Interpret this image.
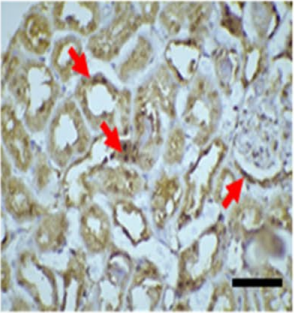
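Kidney cortex with closely packed tubules cut in cross section and part of a glomerulus at the right edge. The tubular epithelial cells have a strongly brown-stained cytoplasm, darker than in the surrounding interstitium. Several tubular lumens are widened and irregular, with thinned or frayed epithelial lining. Red arrows point to small dark brown foci within the tubular lining. Blue counterstained nuclei are scattered in the epithelium and interstitium.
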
